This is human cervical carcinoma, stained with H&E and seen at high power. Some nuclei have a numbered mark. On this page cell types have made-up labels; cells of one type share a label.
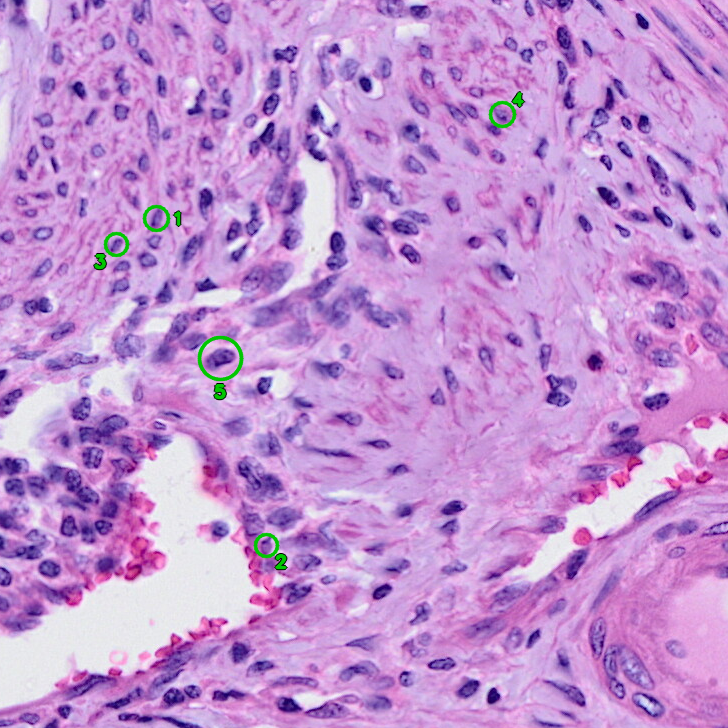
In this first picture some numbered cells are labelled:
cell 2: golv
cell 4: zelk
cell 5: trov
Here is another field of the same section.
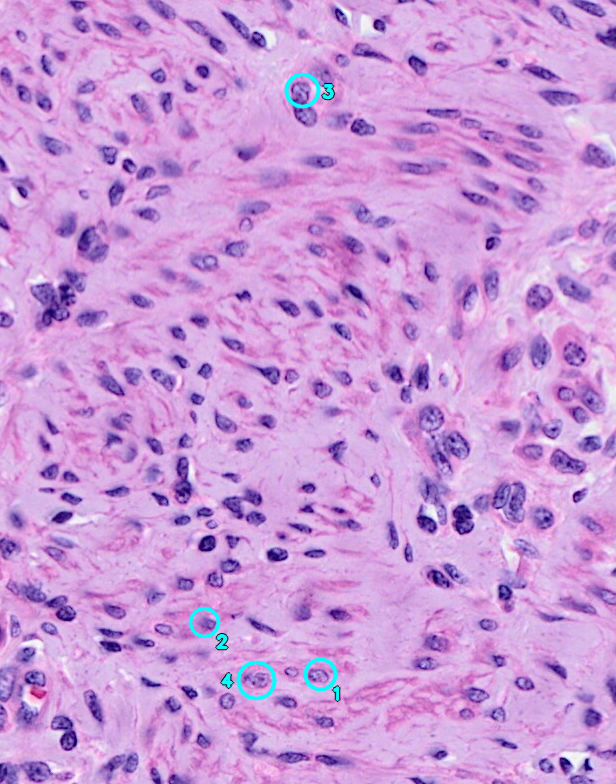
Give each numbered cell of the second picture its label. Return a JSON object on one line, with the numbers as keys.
{"1": "zelk", "2": "zelk", "3": "golv", "4": "zelk"}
